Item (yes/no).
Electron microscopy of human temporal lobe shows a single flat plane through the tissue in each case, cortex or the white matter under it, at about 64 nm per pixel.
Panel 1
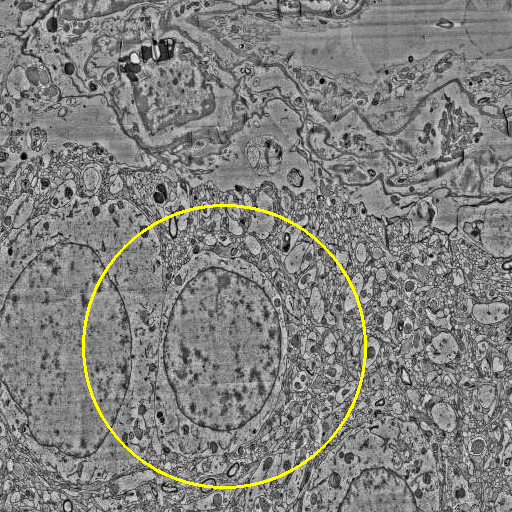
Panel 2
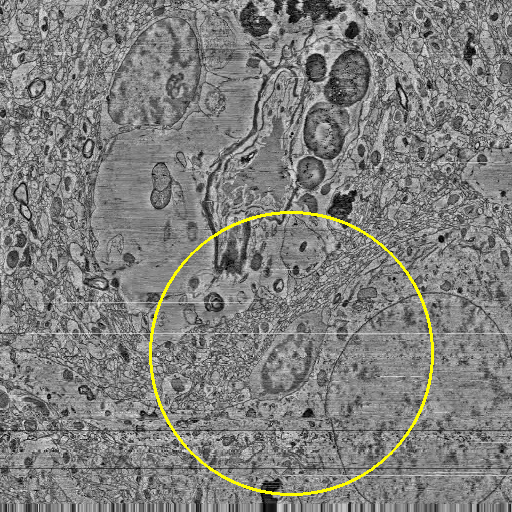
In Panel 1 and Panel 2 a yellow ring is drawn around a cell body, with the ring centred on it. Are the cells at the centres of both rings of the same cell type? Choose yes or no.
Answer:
no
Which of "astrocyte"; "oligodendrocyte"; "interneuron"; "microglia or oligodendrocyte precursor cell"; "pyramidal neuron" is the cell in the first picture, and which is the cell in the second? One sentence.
The two differ: the first cell is a pyramidal neuron and the second is an oligodendrocyte.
